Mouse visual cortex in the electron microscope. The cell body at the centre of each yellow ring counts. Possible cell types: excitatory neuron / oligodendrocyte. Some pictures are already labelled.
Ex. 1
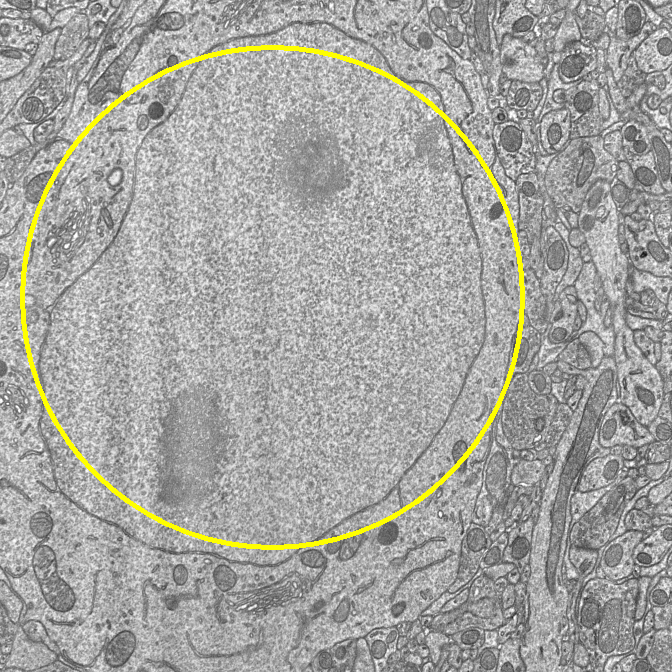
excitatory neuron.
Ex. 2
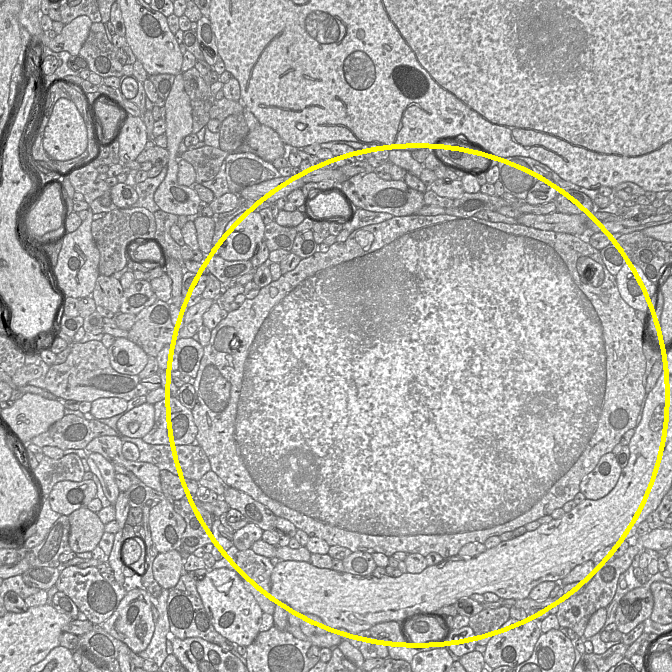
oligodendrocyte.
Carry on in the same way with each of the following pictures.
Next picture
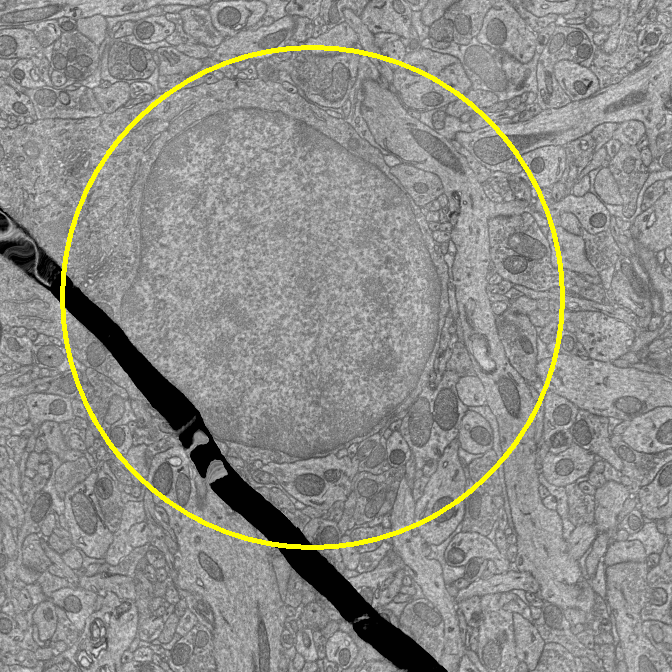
oligodendrocyte.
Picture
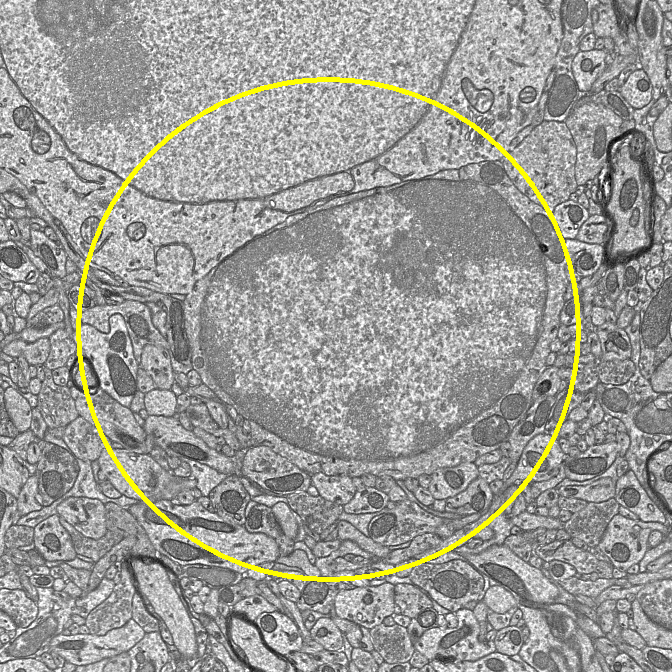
oligodendrocyte.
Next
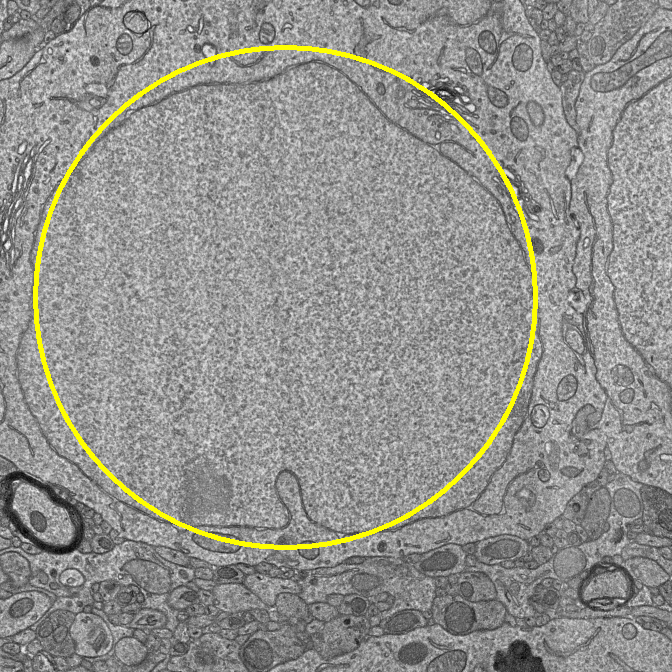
excitatory neuron.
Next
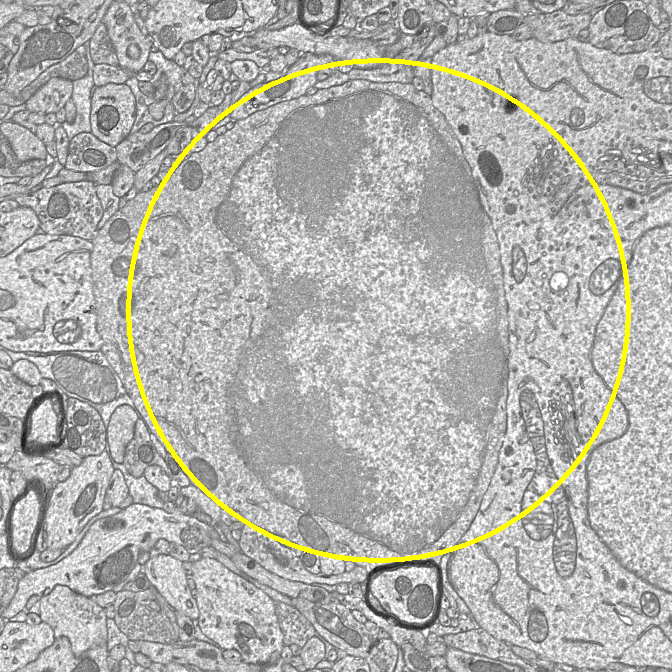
oligodendrocyte.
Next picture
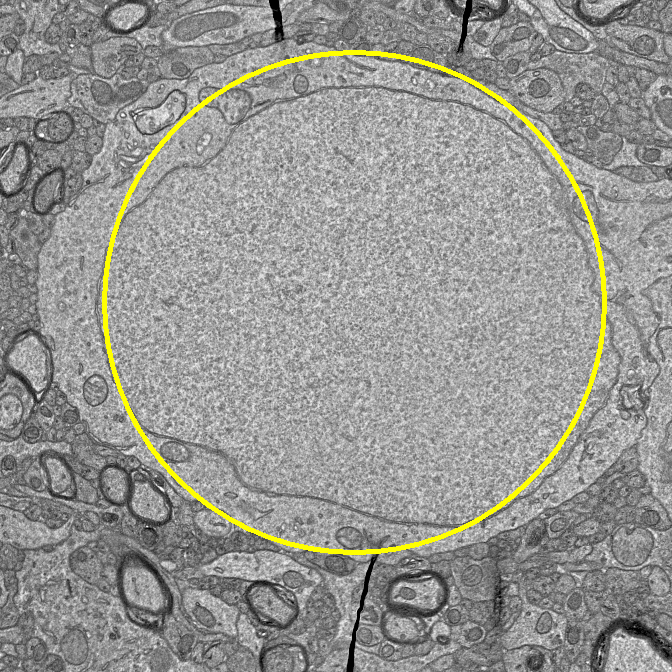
excitatory neuron.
